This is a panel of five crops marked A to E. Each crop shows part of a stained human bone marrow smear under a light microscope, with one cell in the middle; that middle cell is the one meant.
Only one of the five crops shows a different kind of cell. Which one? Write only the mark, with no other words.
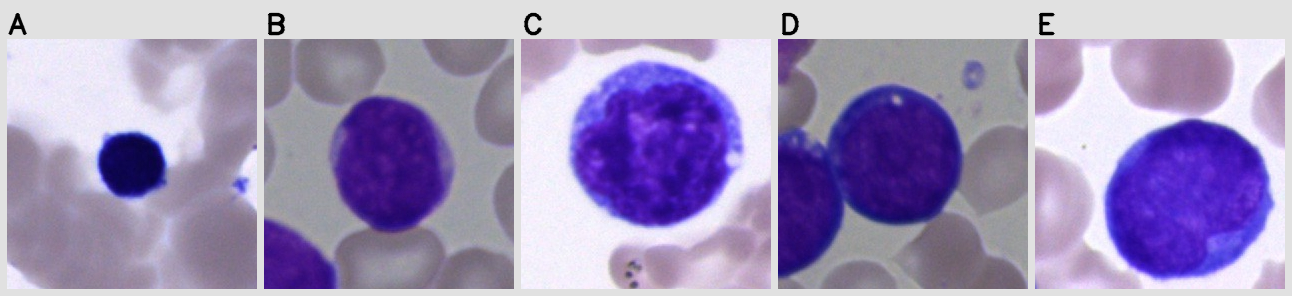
A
